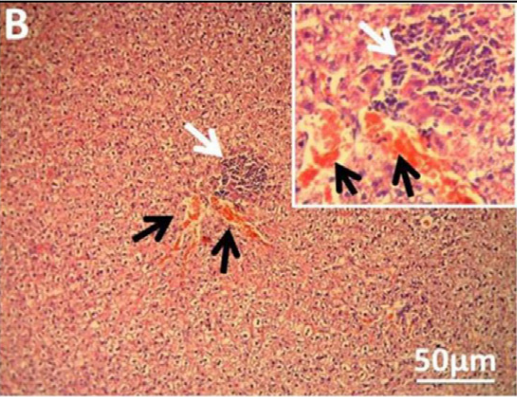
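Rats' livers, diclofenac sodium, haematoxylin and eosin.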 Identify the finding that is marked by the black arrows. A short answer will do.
Congestion in sinusoids.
